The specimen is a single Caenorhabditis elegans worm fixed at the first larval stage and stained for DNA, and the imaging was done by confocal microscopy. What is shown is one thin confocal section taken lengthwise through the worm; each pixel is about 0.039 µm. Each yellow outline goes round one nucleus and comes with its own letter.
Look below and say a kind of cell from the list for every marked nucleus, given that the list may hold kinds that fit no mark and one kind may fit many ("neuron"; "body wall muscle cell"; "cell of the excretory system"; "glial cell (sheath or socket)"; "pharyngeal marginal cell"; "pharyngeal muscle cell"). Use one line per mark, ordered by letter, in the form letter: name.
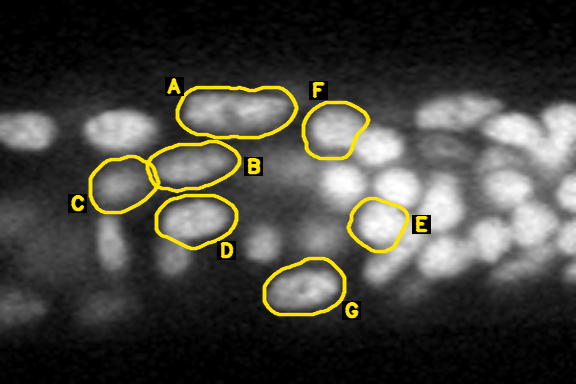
A: body wall muscle cell
B: pharyngeal muscle cell
C: glial cell (sheath or socket)
D: pharyngeal marginal cell
E: neuron
F: neuron
G: body wall muscle cell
